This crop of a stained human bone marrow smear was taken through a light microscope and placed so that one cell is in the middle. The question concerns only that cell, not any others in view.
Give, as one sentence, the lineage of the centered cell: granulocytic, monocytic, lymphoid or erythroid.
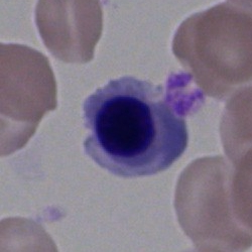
The cell at the center belongs, by lineage, to the erythroid line.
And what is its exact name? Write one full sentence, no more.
The cell nearest the centre of this crop is an erythroblast.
